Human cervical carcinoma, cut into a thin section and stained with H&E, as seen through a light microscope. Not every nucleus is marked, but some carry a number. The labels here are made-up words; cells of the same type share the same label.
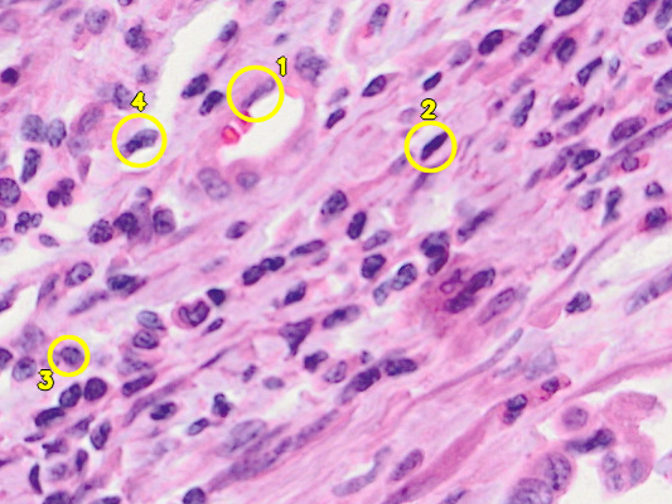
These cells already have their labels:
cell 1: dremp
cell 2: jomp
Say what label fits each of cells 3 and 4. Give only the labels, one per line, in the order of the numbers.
jomp
jomp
